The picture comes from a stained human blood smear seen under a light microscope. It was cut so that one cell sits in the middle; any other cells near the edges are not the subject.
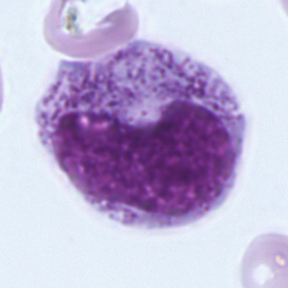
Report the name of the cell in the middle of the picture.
myelocyte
